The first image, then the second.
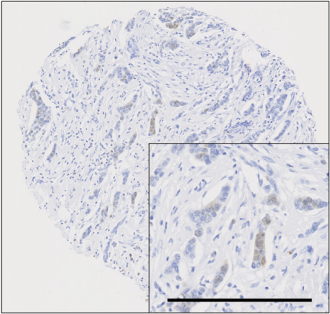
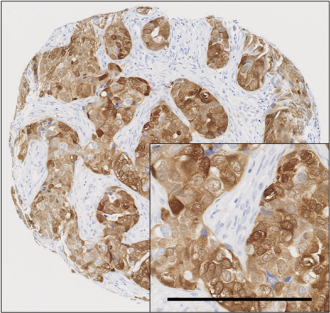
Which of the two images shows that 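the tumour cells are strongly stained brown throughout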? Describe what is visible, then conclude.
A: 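First image: tumour cell clusters show only faint grey-brown tint, most of the field blue. Second image: tumour cell nests are deep brown, contrasting with pale blue stroma.
Answer: the second image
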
